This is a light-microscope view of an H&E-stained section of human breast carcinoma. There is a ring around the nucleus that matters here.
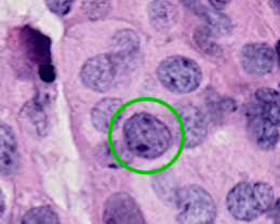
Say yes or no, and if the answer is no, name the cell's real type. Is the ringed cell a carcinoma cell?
Yes.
